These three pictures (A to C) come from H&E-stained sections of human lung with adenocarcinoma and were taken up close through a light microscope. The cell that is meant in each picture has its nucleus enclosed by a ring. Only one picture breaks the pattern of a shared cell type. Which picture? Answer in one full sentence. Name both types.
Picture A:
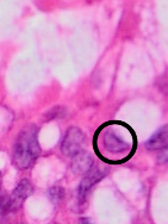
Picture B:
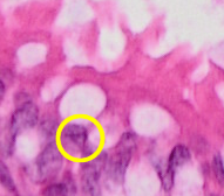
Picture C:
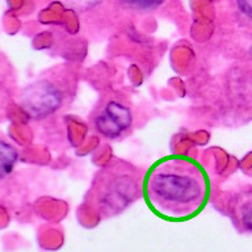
Picture C differs, because its cell is a “macrophage or monocyte” and the rest are ciliated epithelial cells.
